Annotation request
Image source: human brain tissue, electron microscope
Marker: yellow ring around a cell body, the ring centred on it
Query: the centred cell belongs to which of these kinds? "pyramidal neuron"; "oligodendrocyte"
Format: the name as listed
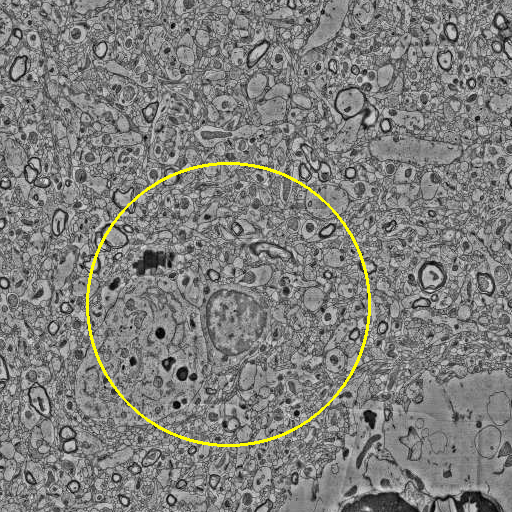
oligodendrocyte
